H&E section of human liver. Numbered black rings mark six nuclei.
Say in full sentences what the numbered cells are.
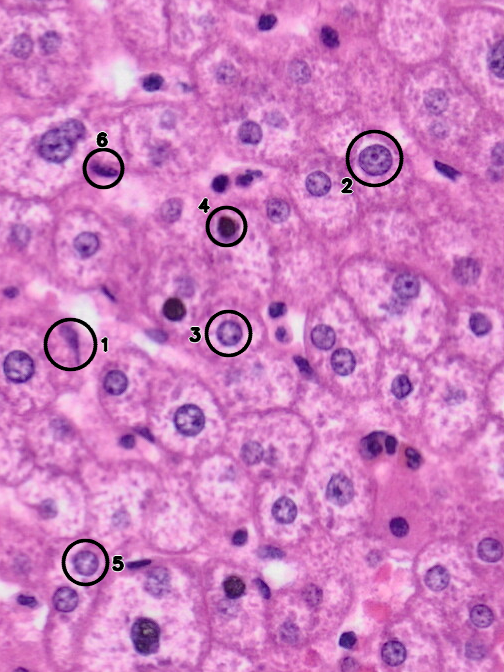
Cell 1 is a Kupffer cell. Cells 2, 3, 4 and 5 are hepatocytes. Cell 6 is a fibroblast or stellate cell.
